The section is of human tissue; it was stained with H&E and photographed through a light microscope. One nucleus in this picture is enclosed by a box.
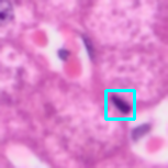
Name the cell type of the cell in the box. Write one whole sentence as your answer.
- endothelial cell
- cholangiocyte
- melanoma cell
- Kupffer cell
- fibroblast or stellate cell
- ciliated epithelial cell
The identity of the cell in the box: it is a fibroblast or stellate cell.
